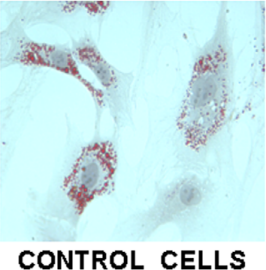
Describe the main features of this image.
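Cultured adipocytes, a few flattened cells with oval nuclei spread on a pale background. Their cytoplasm is packed with numerous small red-stained droplets gathered around the nucleus, while thin cytoplasmic extensions stay pale.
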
